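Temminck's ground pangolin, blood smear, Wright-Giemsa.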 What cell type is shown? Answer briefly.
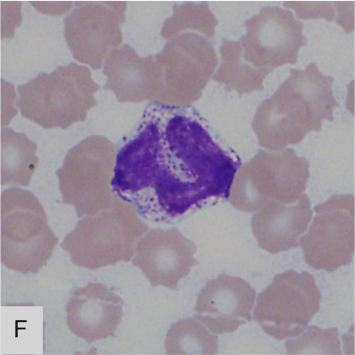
basophil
